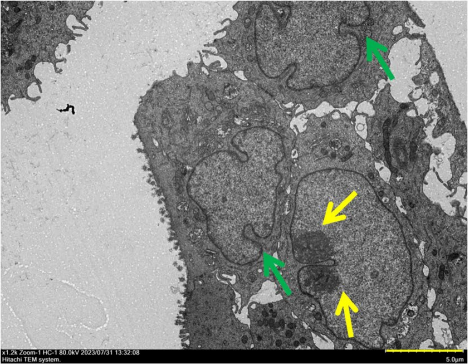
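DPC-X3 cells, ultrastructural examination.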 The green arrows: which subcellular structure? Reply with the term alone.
Nuclear membrane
